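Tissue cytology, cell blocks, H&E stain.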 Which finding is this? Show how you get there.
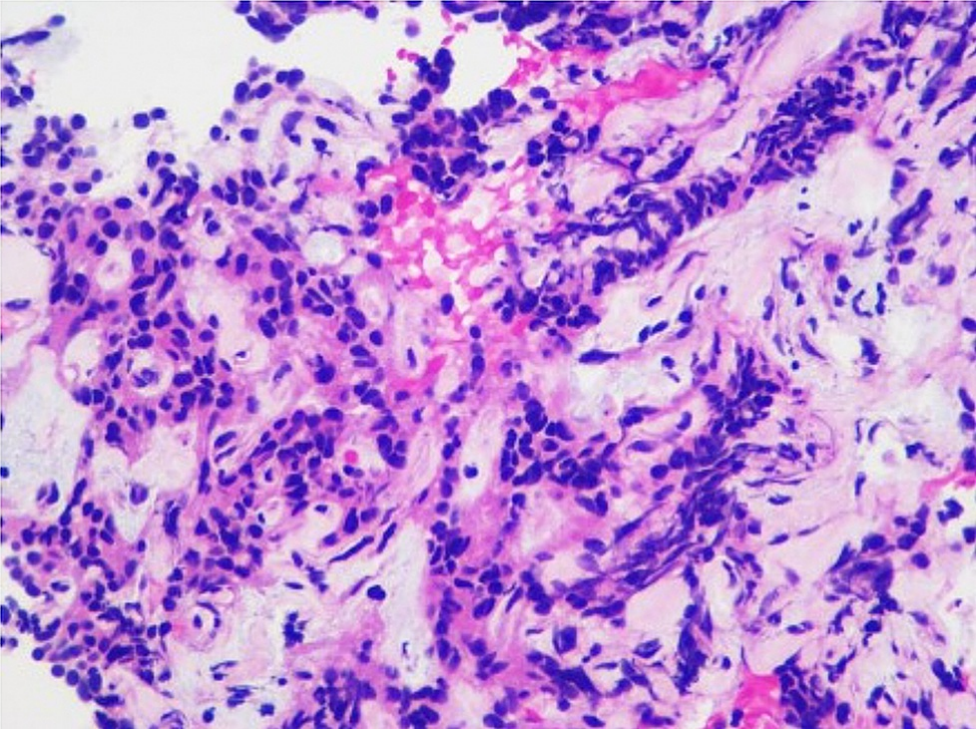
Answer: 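Nuclei are dark purple and round to oval. Nuclear size varies only slightly from cell to cell. The answer: mild anisonucleosis.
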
